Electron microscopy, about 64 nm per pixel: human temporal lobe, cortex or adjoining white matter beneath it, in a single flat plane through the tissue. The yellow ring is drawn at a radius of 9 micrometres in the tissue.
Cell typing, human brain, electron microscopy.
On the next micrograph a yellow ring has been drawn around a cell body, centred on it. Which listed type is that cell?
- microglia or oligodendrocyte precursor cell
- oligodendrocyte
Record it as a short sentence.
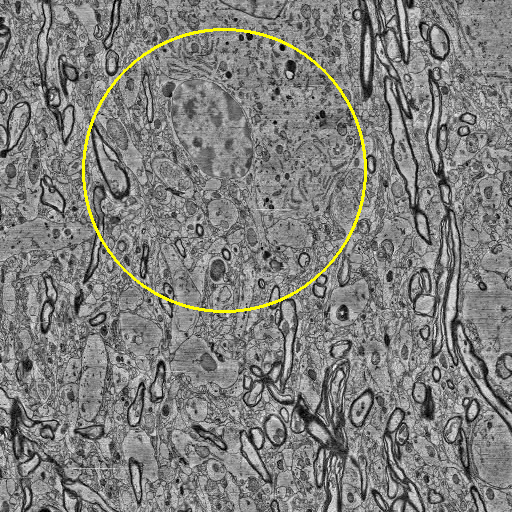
The cell body in the ring's centre belongs to a microglial cell or oligodendrocyte precursor cell.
